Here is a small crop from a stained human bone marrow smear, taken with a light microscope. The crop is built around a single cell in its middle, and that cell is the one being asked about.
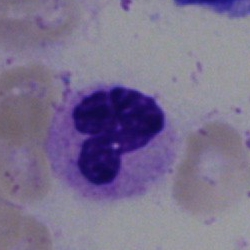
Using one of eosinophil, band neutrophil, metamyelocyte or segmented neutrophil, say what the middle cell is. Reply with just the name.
segmented neutrophil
